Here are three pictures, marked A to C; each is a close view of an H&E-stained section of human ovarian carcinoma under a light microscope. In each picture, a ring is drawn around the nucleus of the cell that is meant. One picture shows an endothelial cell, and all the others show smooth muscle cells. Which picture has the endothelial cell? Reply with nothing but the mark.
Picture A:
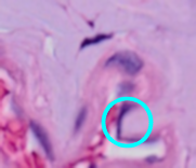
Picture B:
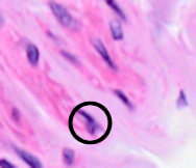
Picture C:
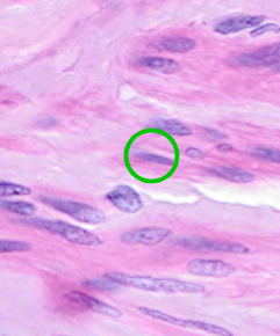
A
